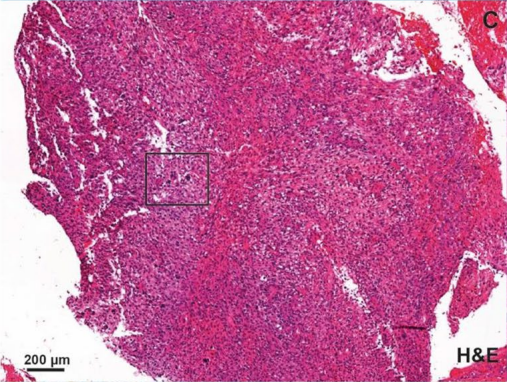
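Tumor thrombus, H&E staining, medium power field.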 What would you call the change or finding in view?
Hypercellular areas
